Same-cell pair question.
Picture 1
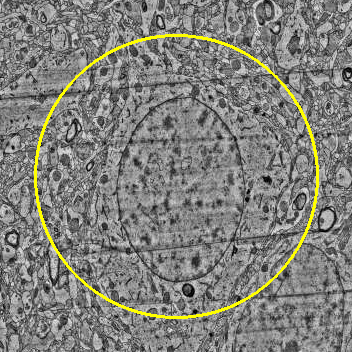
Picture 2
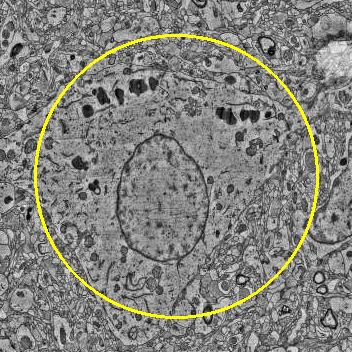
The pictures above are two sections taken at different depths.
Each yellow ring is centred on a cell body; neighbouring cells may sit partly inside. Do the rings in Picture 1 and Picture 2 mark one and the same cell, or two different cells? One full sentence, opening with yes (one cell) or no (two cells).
No, each of the two rings holds a different cell.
